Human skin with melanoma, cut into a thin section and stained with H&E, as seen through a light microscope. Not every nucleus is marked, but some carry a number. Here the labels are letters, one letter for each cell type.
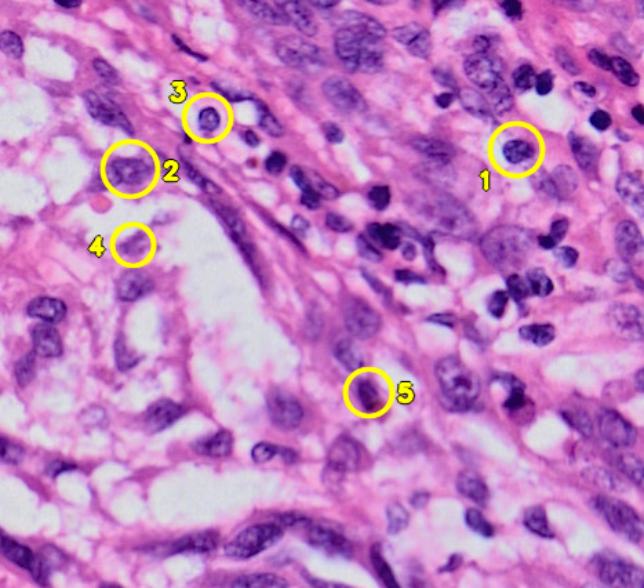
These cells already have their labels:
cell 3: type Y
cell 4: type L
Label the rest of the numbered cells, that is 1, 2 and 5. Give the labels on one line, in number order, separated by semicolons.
type Y; type L; type L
